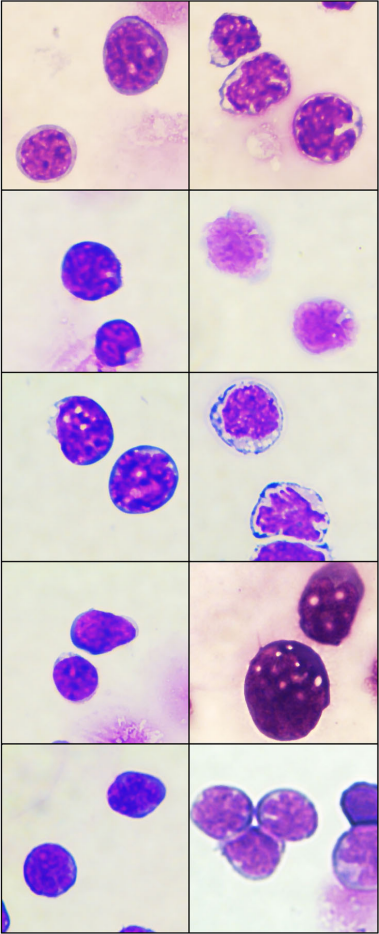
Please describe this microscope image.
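Most cells are round, and a large purple-staining nucleus fills nearly the whole cell. Around each nucleus is only a thin rim of bluish cytoplasm. In many nuclei the chromatin looks fine and mottled, and small pale spots are scattered through it.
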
